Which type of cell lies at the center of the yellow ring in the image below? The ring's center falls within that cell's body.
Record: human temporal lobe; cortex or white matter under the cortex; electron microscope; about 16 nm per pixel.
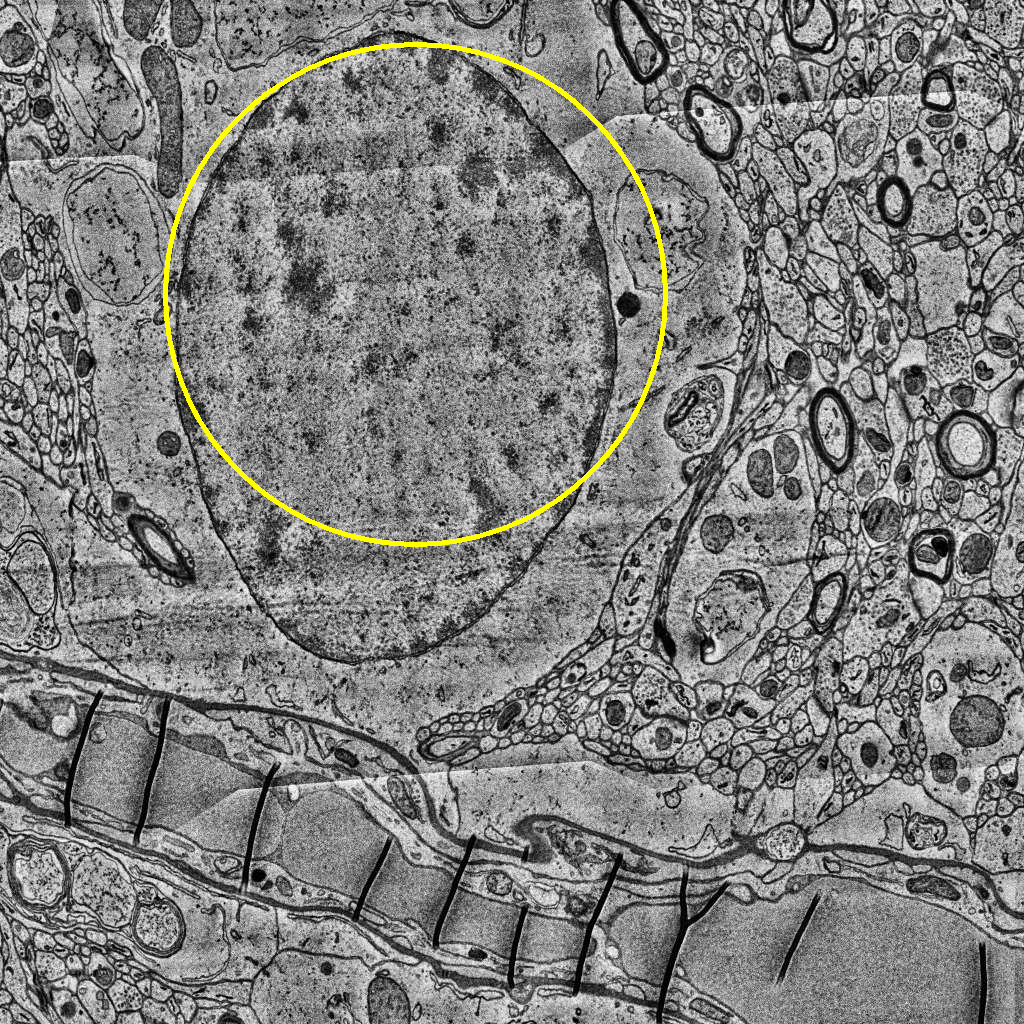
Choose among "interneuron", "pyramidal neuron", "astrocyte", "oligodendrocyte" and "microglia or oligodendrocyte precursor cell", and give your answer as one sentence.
The cell body at the center belongs to an astrocyte.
